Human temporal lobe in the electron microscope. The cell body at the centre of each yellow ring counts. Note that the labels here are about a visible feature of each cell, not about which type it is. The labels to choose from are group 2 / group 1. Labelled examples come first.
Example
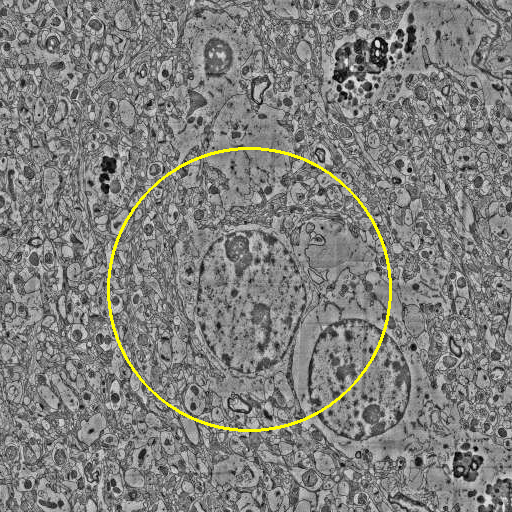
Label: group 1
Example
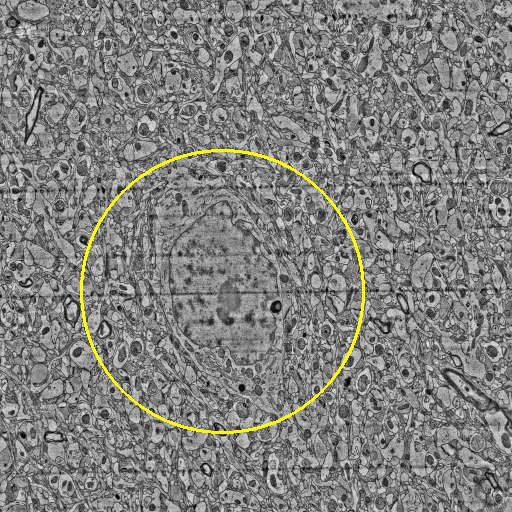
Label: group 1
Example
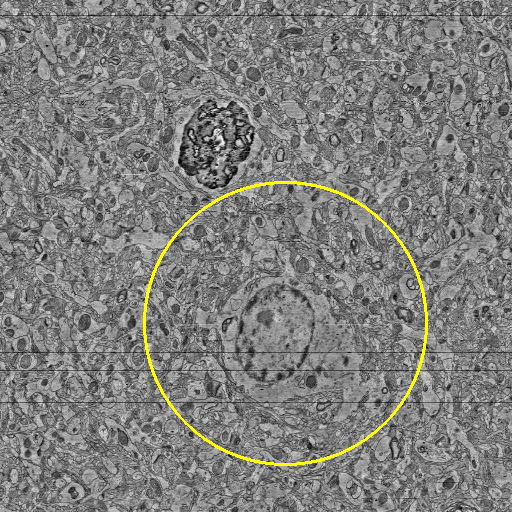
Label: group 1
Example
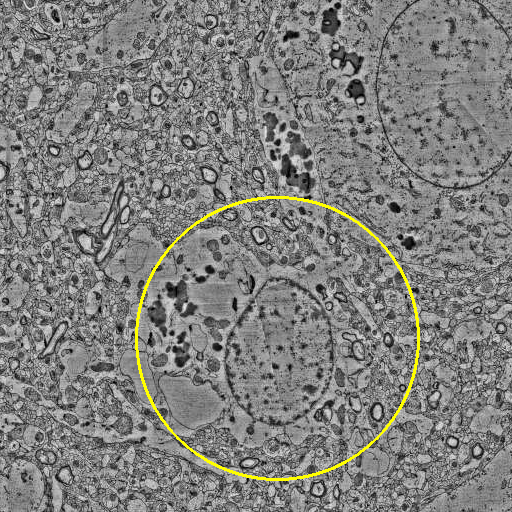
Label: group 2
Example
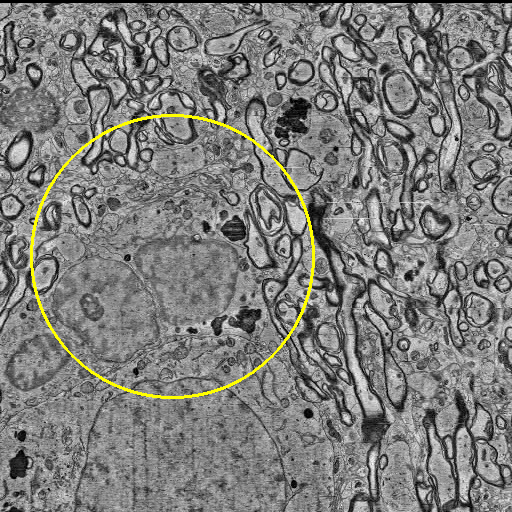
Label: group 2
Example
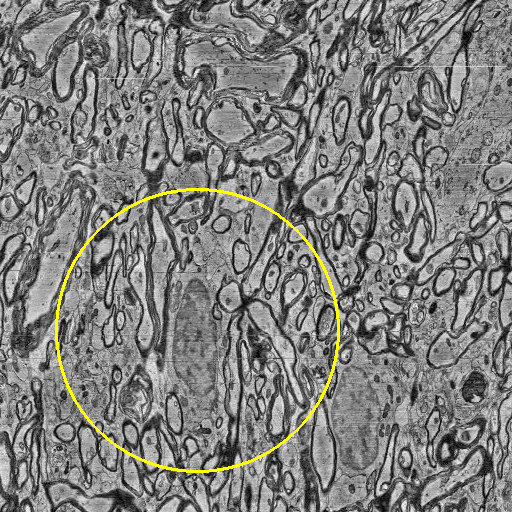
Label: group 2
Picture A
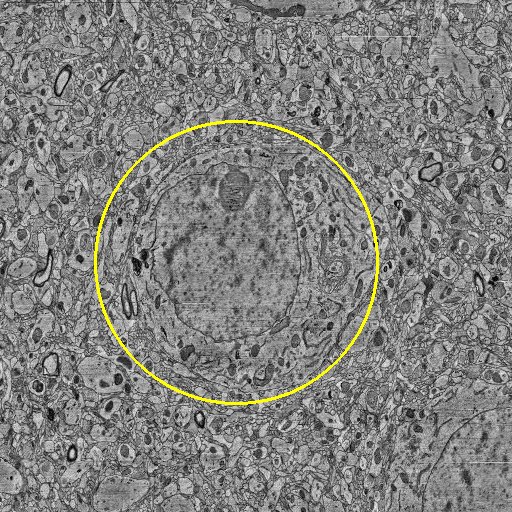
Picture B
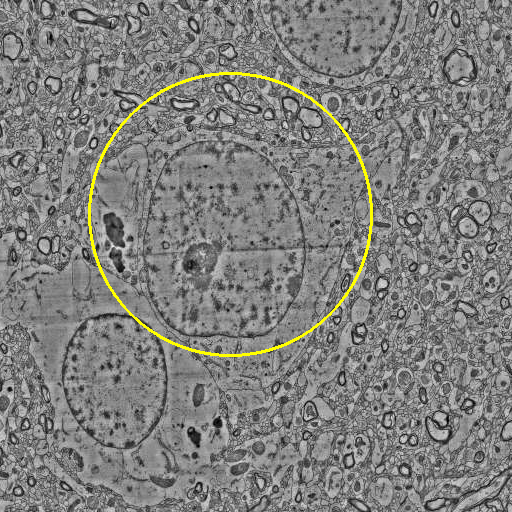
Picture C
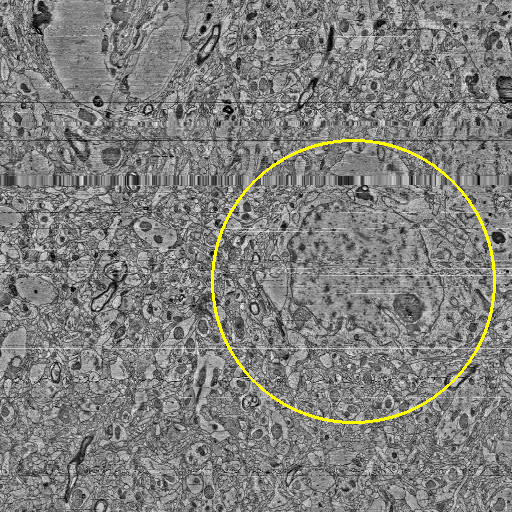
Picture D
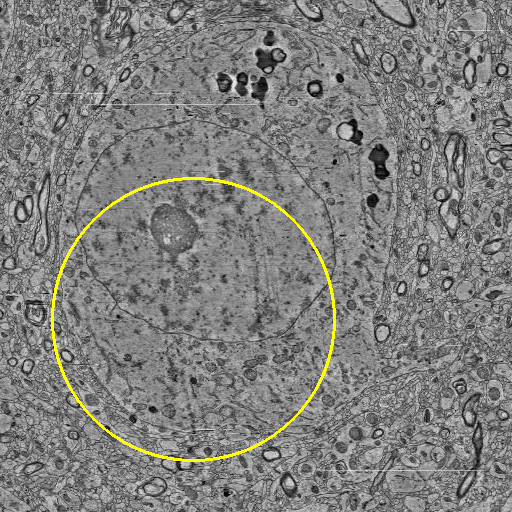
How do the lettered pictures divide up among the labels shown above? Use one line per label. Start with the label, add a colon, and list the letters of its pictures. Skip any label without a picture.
group 1: A, B, C, D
